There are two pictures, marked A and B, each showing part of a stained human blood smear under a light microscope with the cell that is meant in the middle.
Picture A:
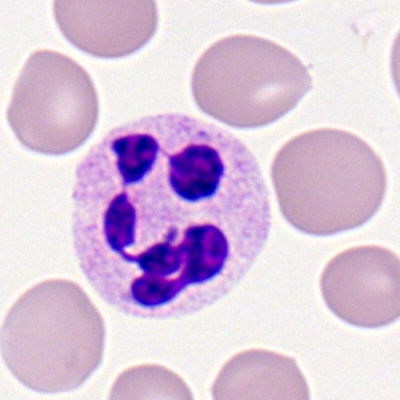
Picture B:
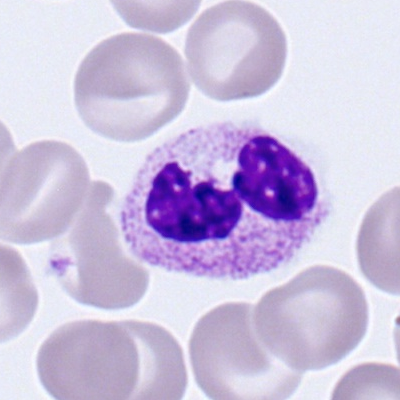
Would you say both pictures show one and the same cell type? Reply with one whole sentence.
Yes, both cells are segmented neutrophils.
